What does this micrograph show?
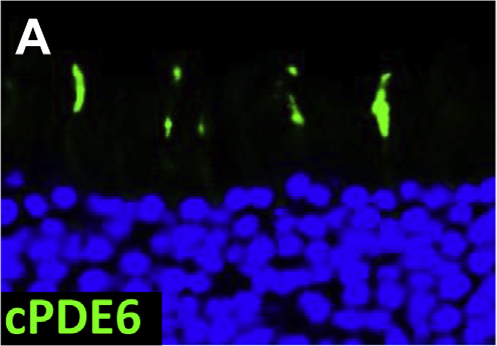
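This section of the photoreceptor layer shows a thick band of closely packed, round blue-stained nuclei at the bottom. Above the nuclei is a dark zone with faint vertical striation, corresponding to the inner and outer segments. Scattered in the outer part of this zone are a few widely spaced, bright green, elongated structures, some curved or beaded, marking the outer segments of a small subset of photoreceptors. The green structures are separated from the nuclear layer by an unlabelled band.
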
